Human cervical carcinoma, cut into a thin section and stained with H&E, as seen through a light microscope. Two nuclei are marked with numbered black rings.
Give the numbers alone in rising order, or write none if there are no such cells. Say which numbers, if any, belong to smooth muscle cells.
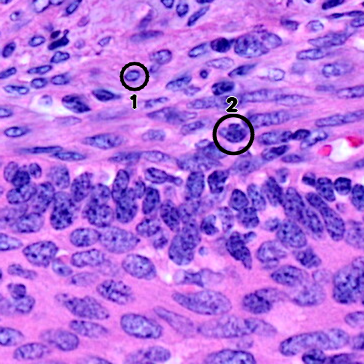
1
